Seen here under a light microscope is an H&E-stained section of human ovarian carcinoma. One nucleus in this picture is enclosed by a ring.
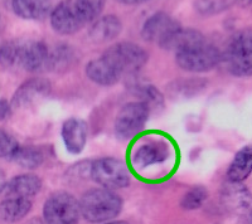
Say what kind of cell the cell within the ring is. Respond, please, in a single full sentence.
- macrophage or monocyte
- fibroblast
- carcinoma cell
In the stained section, the cell within the ring is a macrophage or monocyte.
